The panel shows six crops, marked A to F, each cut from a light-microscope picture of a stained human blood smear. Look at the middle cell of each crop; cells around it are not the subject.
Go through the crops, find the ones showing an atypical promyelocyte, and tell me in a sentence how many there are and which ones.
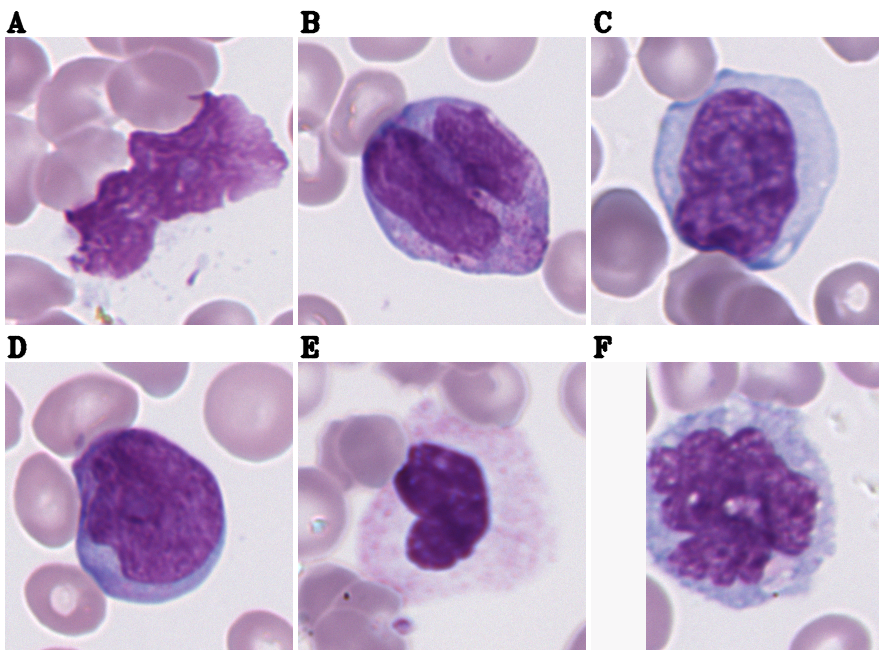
There are two crops showing atypical promyelocytes, namely B and D.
